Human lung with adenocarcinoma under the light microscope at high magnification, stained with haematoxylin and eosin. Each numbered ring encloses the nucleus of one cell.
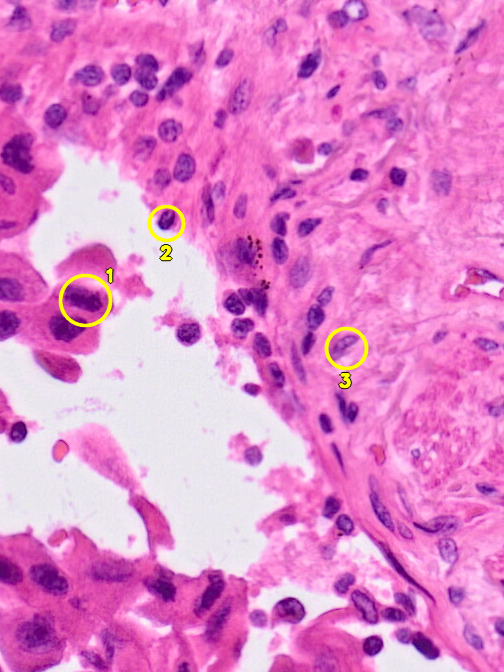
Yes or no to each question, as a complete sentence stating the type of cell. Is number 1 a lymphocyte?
No, cell 1 is identified not as a lymphocyte but as a carcinoma cell.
